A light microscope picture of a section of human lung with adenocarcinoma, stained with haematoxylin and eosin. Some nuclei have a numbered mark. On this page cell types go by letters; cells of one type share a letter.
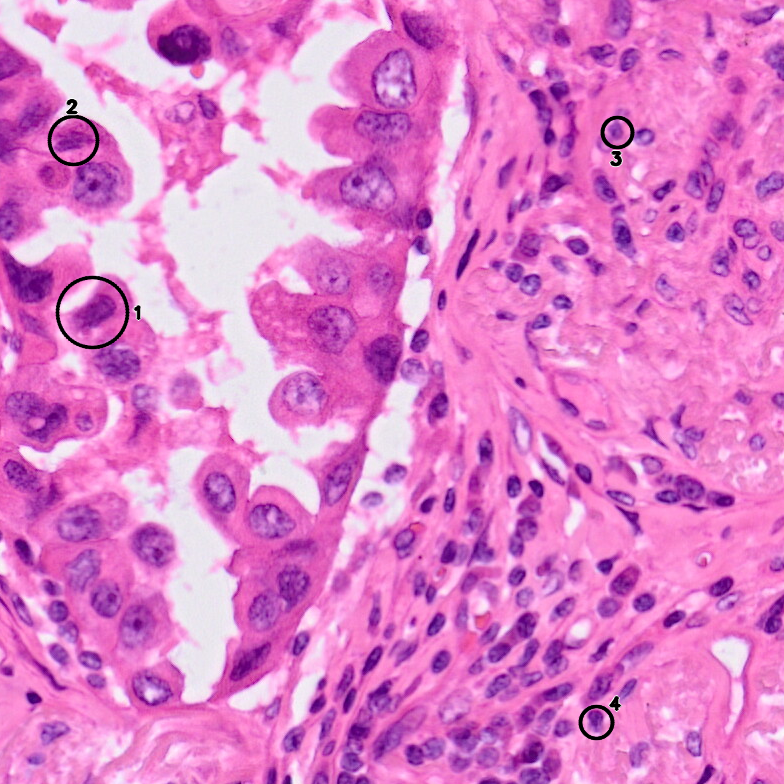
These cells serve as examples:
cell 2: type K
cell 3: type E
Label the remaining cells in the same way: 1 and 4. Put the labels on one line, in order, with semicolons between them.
type K; type E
